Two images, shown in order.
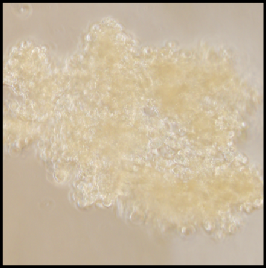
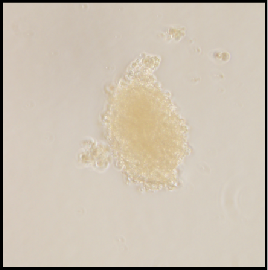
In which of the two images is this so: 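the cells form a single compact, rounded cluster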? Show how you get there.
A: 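First image: cells spread as a large, loose, irregular sheet with ragged edges filling most of the field. Second image: cells gathered into one small, dense, oval aggregate surrounded by empty background. So: the second image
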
